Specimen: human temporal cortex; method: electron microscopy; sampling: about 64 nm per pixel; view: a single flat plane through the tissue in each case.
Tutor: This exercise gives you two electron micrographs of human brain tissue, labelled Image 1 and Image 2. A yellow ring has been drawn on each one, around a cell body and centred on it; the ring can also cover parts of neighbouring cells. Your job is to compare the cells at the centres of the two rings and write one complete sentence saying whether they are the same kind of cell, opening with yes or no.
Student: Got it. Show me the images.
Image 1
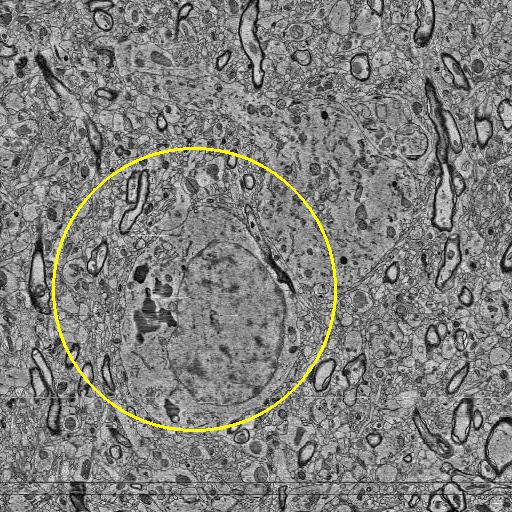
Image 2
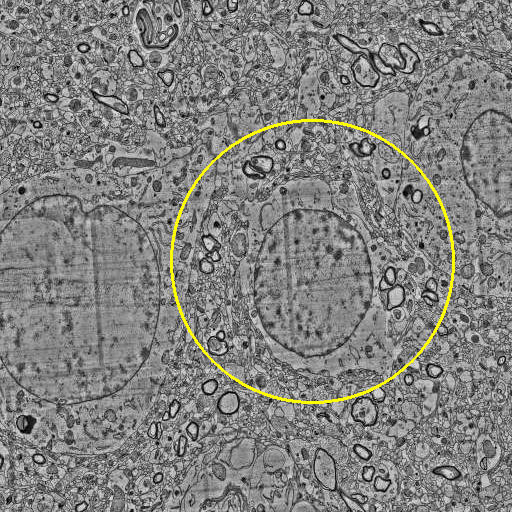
No, the two cells belong to two kinds.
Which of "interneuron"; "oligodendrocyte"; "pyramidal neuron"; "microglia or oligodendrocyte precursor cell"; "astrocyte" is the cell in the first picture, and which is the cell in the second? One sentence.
The two differ: the first cell is an interneuron and the second is an astrocyte.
